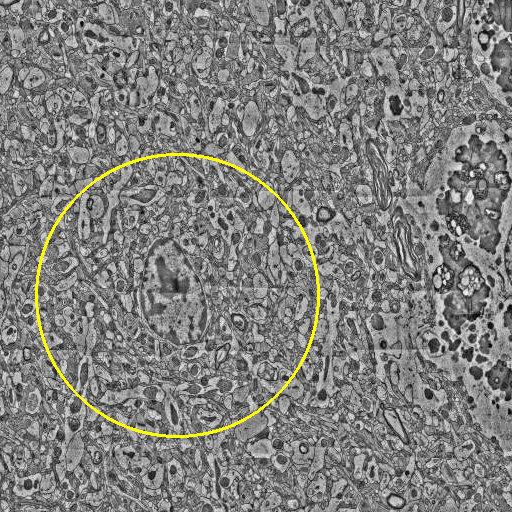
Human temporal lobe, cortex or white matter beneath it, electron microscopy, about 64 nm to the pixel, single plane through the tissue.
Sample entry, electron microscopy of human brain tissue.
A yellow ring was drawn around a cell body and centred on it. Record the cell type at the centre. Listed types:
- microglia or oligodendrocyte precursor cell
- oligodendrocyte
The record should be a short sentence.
The cell at the ring's centre is a microglial cell or oligodendrocyte precursor cell.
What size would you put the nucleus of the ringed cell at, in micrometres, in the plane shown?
In this plane, approximately 7 by 4 micrometers, and clearly longer than it is wide.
